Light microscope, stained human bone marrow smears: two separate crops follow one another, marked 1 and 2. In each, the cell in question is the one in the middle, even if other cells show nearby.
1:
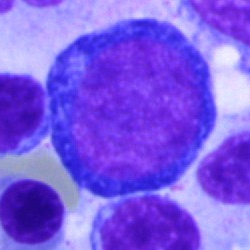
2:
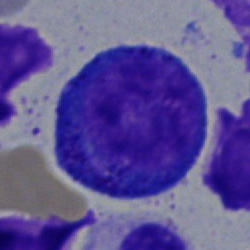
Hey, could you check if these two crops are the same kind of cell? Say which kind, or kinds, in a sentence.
Yes, the cells at the centre of both crops are proerythroblasts.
